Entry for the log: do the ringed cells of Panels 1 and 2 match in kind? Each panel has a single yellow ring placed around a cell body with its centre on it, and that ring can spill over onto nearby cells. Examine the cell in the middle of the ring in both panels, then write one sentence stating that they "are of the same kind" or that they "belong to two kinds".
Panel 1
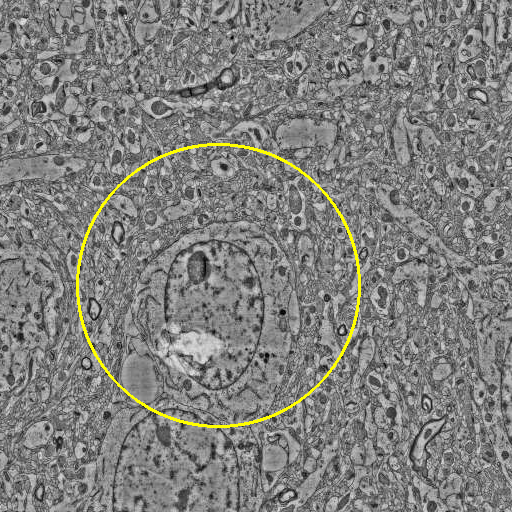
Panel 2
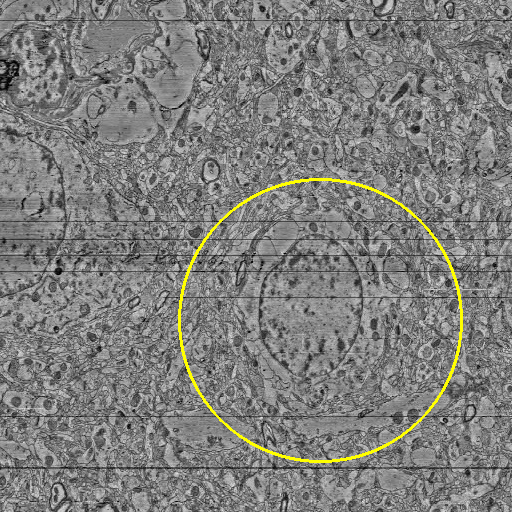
The centre cell of Panel 1's ring and that of Panel 2's ring belong to two kinds.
